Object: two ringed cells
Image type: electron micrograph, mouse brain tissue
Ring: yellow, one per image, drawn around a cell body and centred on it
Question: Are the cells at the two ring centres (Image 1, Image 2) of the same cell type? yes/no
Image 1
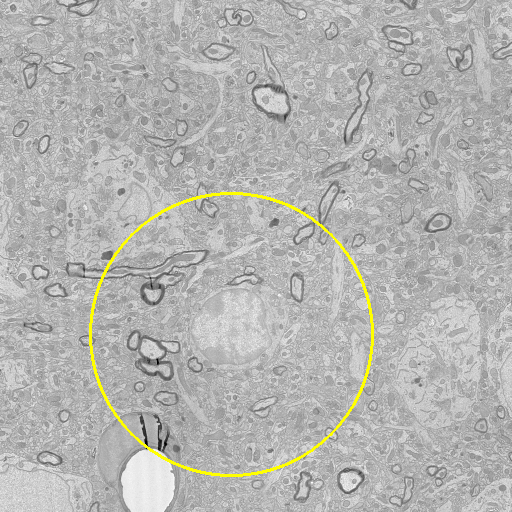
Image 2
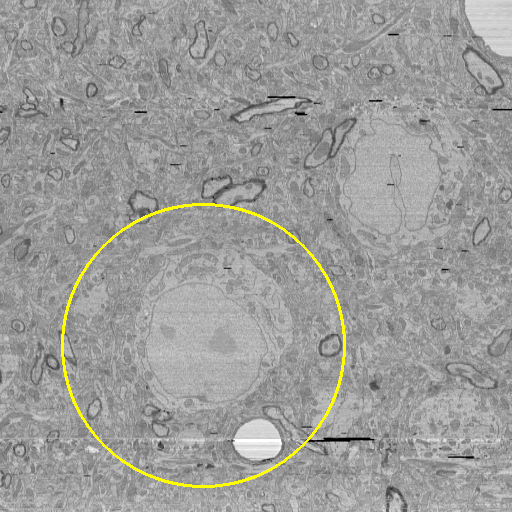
no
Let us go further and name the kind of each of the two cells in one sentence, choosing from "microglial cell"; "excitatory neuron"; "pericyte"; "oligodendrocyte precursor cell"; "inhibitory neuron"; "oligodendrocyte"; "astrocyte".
The ring of the first picture is on an oligodendrocyte, the ring of the second on an excitatory neuron.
